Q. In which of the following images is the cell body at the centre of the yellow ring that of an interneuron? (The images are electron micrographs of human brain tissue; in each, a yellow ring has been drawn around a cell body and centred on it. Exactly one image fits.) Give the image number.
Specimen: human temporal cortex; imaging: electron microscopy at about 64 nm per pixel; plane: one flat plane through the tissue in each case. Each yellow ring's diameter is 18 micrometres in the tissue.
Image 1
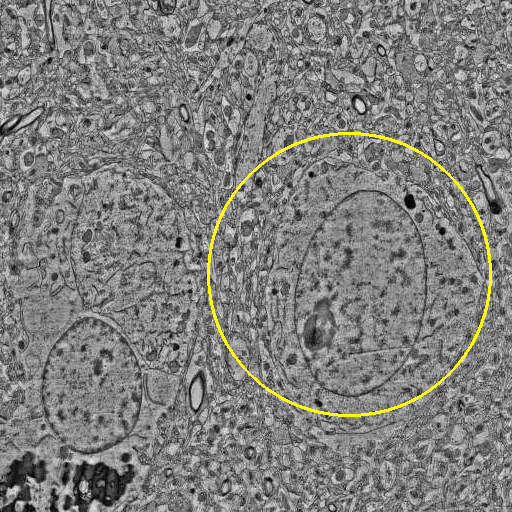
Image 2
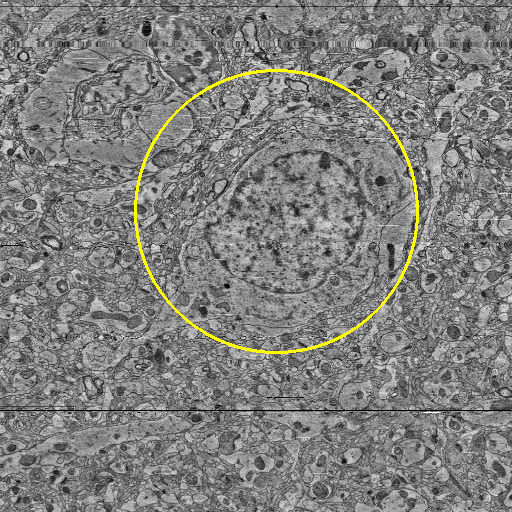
2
